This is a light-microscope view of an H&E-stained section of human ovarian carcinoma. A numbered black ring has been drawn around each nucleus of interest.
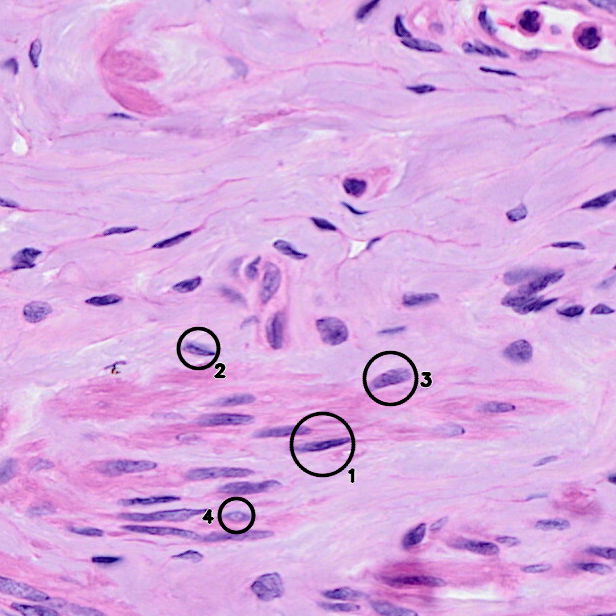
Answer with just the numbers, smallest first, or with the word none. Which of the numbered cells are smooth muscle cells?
1, 3, 4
